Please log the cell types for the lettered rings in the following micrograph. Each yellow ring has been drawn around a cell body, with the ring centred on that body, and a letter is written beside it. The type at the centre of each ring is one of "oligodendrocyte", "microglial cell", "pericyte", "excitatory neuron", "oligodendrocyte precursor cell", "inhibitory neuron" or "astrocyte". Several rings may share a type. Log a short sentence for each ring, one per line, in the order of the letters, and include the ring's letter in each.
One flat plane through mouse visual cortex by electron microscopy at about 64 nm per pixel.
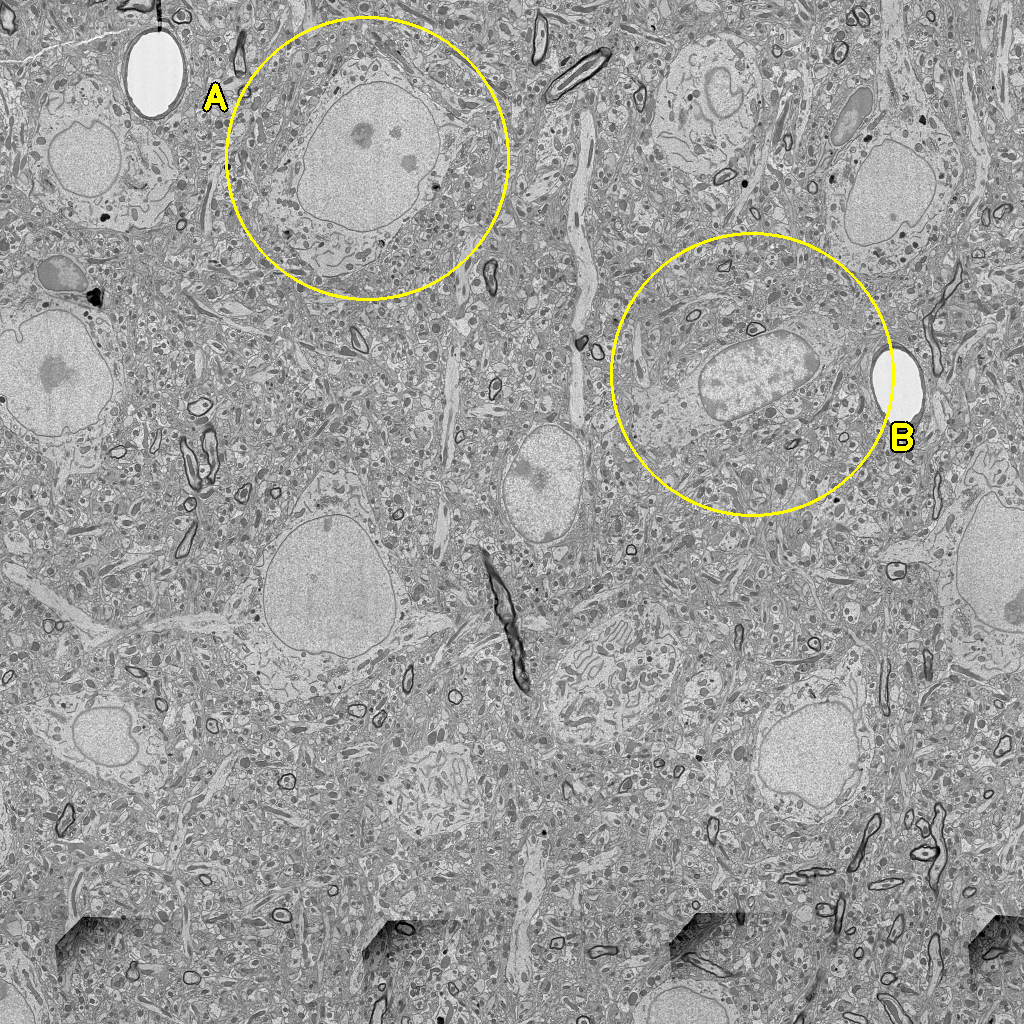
In ring A the central cell is an excitatory neuron.
In ring B the central cell is an oligodendrocyte.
